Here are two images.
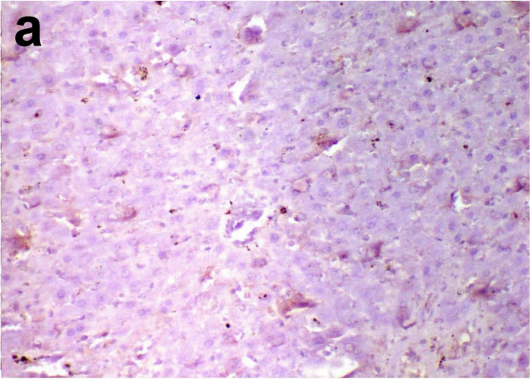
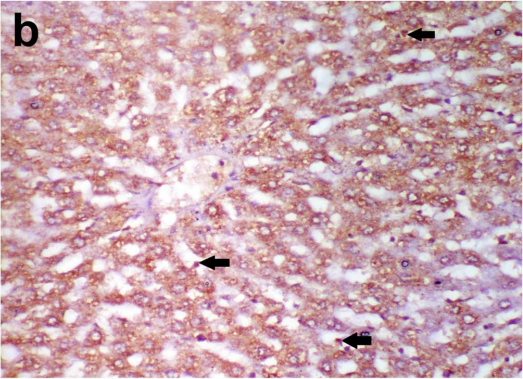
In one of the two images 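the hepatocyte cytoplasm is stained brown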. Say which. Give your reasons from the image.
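The second image. Second image: hepatocyte cytoplasm is diffusely brown throughout the field. First image: hepatocytes are mostly pale blue-violet with only scattered brown specks.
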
